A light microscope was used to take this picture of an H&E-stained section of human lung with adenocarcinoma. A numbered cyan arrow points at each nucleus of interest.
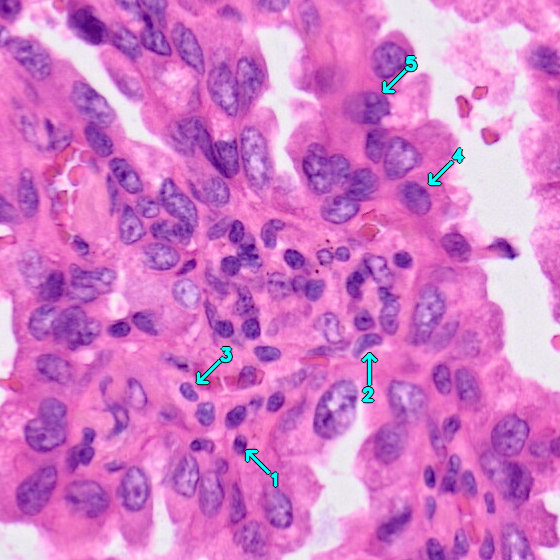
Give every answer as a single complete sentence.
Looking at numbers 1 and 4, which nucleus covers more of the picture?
Nucleus 4 is larger, with an area about 4 times that of nucleus 1.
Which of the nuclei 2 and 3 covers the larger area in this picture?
Nucleus 2 is larger, with an area about 1.5 times that of nucleus 3.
